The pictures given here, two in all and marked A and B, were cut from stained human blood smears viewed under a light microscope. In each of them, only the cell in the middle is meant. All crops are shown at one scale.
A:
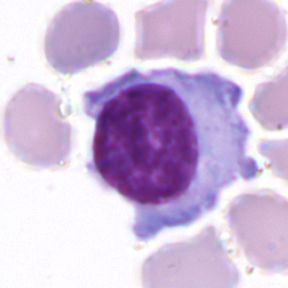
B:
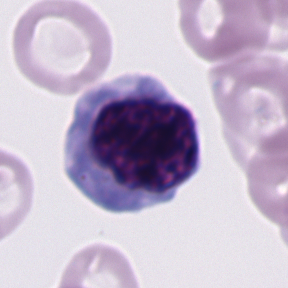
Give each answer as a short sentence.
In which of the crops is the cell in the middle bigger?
Picture A holds the larger cell; it covers about 1.5 times the area of the cell in picture B.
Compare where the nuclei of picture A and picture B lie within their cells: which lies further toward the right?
The nucleus in picture B lies further toward the right of its cell.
